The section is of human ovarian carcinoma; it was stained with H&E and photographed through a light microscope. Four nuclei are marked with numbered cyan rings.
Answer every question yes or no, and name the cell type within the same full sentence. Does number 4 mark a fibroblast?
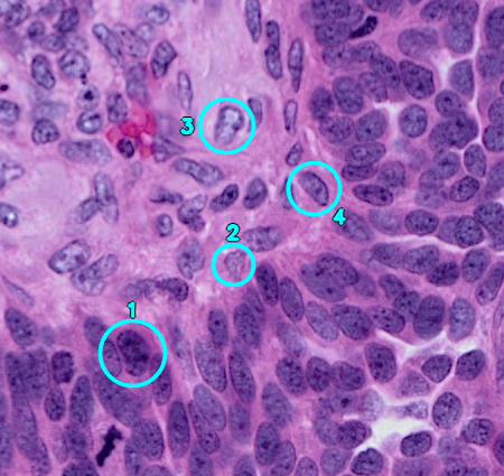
Yes, the cell at marker 4 is a fibroblast.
